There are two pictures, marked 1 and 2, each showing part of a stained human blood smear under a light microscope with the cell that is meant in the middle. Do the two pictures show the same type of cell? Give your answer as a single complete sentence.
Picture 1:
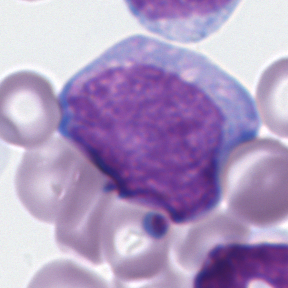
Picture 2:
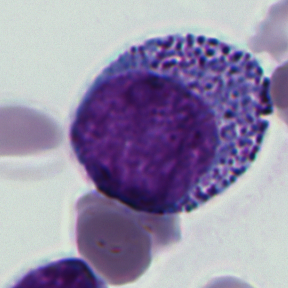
Yes; the cells in both pictures are promyelocytes.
